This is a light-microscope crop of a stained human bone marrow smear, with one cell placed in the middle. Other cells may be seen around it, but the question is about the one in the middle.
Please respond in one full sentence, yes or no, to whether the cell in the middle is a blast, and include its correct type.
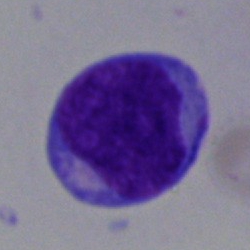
Yes, as regards the cell in the middle, it is a blast.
